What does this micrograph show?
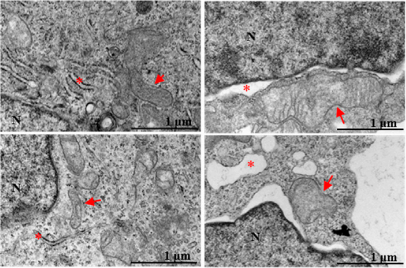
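In the left pair, the organelles are compact within a dense, granular cytoplasm. In the right pair, large electron-lucent clear spaces open in the cytoplasm next to organelles with inner cristae, so these images show cytoplasmic vacuolization.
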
